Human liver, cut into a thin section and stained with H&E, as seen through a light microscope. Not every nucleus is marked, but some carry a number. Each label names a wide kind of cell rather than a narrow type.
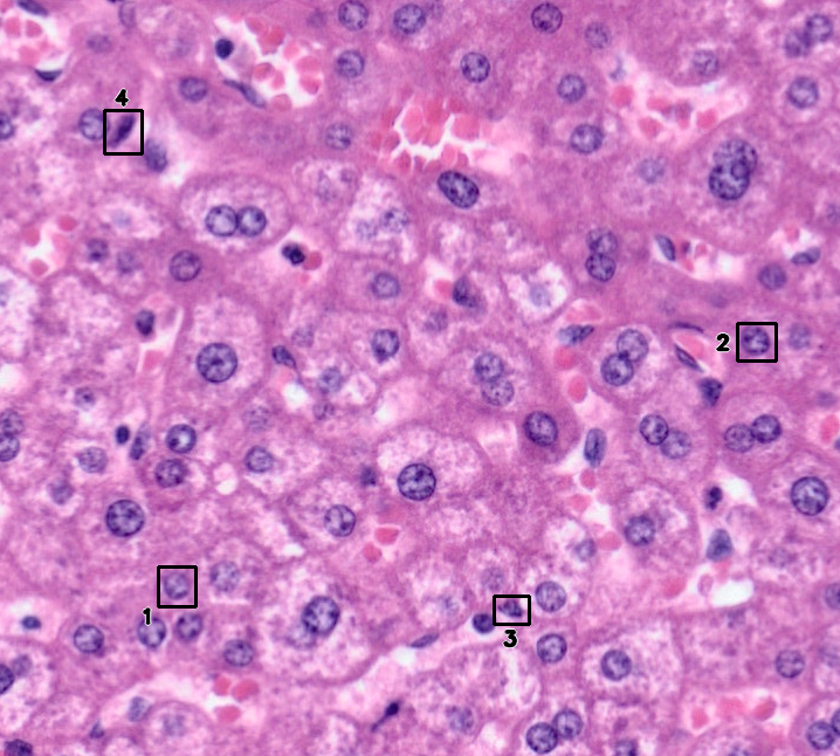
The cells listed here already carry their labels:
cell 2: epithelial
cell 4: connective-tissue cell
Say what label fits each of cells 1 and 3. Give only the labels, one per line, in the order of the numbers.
epithelial
connective-tissue cell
